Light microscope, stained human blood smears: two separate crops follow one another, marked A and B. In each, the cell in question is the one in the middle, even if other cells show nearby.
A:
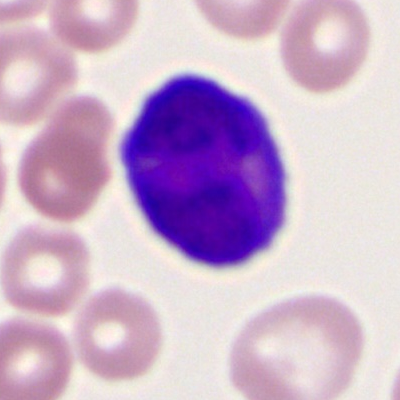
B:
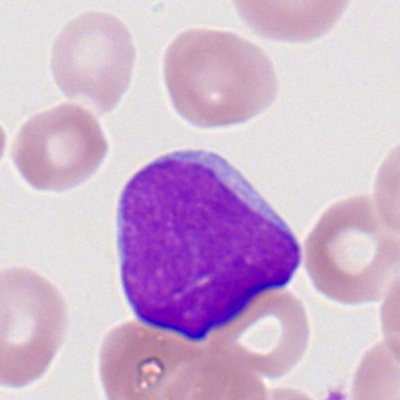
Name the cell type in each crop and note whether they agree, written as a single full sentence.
Yes, both crops here show myeloblasts, the pair of them.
